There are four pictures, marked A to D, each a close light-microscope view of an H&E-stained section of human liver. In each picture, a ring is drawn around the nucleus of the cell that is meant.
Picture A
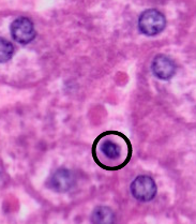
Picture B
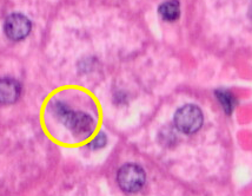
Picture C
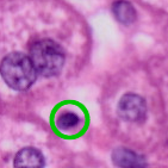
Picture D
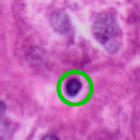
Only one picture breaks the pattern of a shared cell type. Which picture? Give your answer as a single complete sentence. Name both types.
Picture B is the odd one out: it shows a Kupffer cell, while the others show lymphocytes.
